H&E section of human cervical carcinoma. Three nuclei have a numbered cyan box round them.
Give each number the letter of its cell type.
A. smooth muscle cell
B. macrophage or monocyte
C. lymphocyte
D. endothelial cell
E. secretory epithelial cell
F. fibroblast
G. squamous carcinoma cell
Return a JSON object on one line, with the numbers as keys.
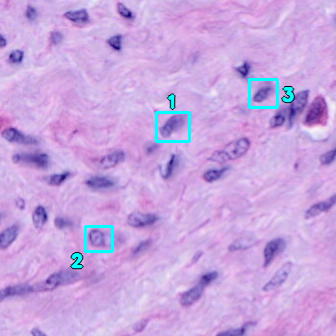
{"1": "F", "2": "A", "3": "F"}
